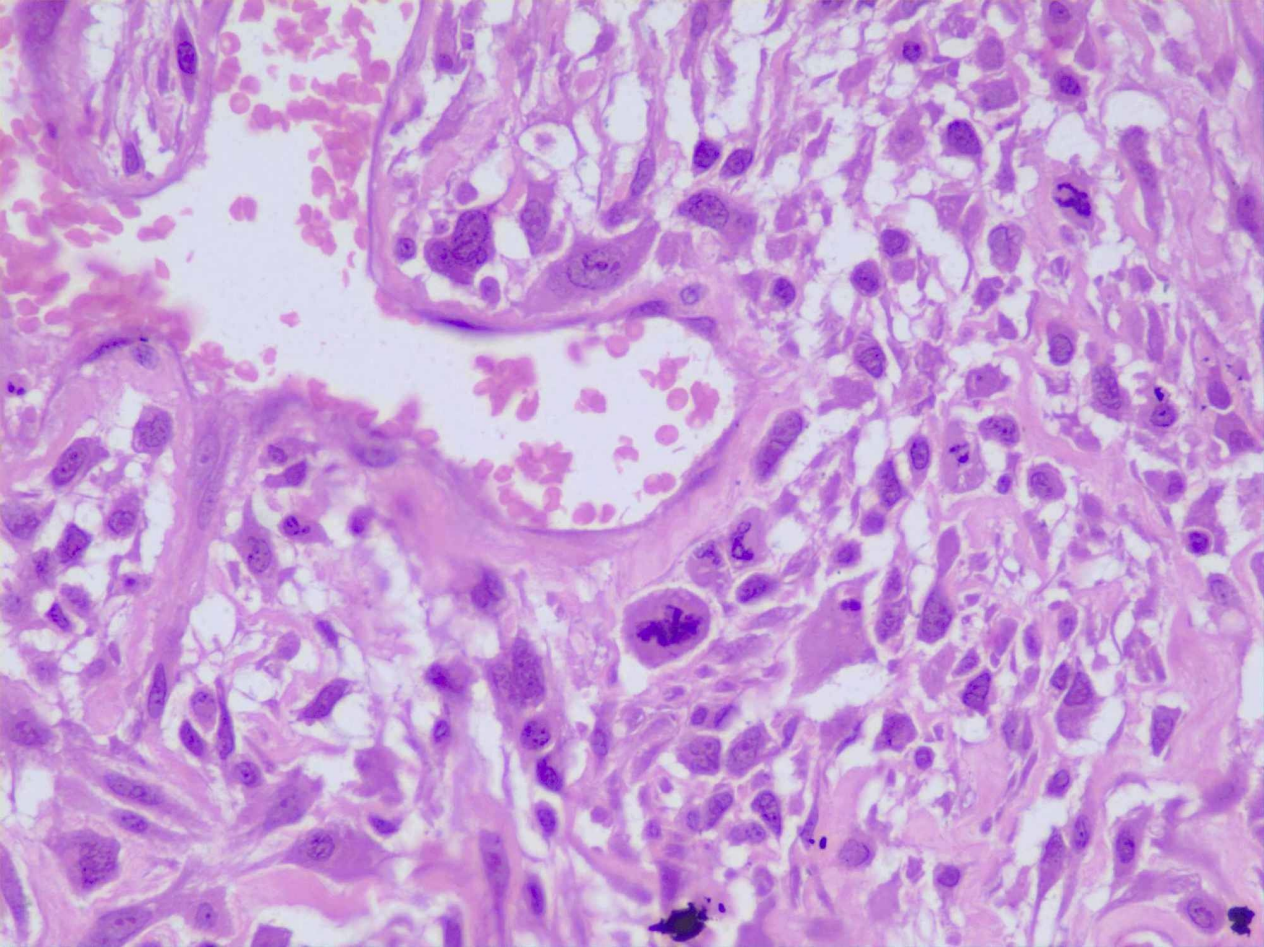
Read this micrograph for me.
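This is a high-power view of a tumor made of moderately pleomorphic cells, ranging from elongated spindle forms to angular, stellate ones. The nuclei are large and deeply purple, varying in size and outline, and some show a small visible nucleolus. A thin-walled vessel filled with red blood cells runs across the upper left. Near the center, a large cell shows dark clumped chromosomes of a mitosis, and a few other dividing cells with small dark chromatin clumps are scattered about.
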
